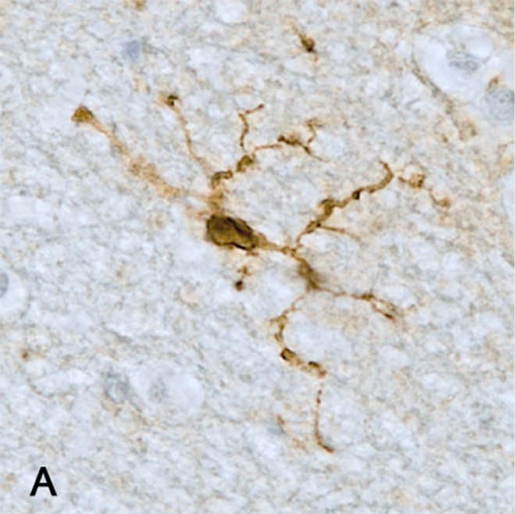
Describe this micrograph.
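In pale grey matter neuropil a single brown-stained cell with a small elongated body sits in the centre. From this body many long, thin processes radiate in all directions, branching repeatedly and becoming finely beaded towards their tips. The processes reach far relative to the size of the small cell body. Around it, faint blue-grey nuclei of other cells and a large pale neuronal outline are seen unstained. This is a microglial cell in its ramified form.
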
